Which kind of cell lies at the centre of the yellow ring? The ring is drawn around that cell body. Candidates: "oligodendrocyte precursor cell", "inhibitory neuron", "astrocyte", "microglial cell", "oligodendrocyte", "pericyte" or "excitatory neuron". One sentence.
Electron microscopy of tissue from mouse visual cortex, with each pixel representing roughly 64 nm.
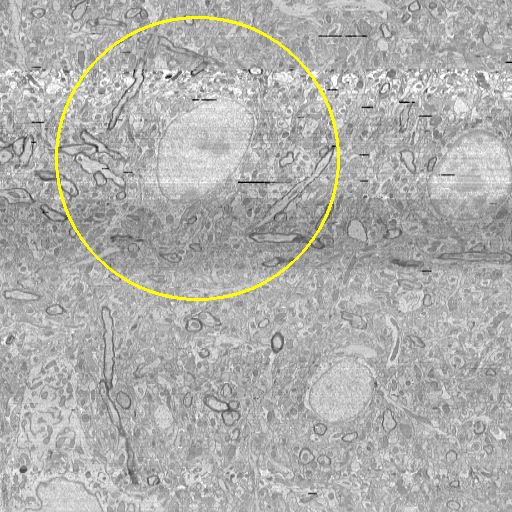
Lying at the centre of the ring is an astrocyte.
